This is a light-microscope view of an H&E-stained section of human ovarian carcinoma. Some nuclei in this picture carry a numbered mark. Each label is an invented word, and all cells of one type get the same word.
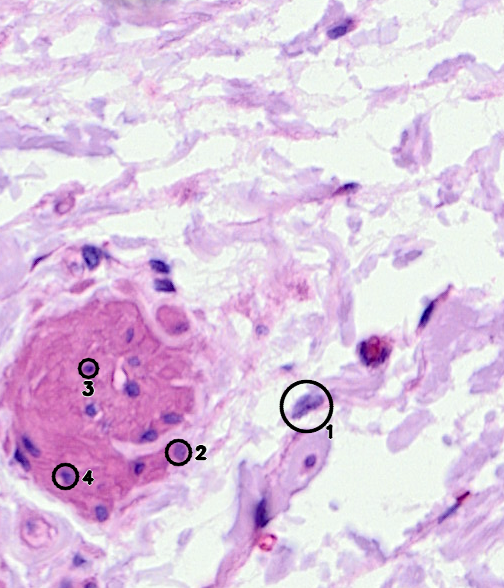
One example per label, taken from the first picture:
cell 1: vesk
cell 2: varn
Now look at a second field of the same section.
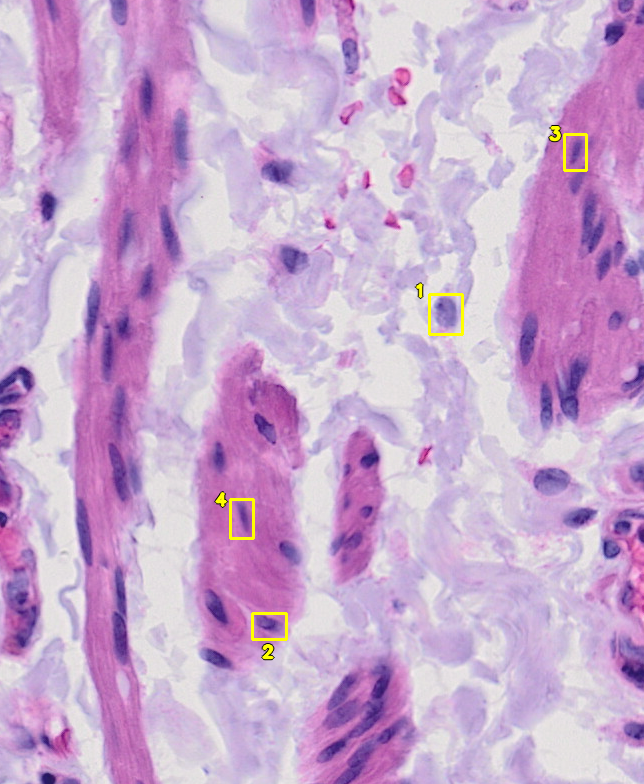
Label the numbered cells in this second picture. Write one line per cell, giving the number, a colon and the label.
1: vesk
2: varn
3: varn
4: varn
